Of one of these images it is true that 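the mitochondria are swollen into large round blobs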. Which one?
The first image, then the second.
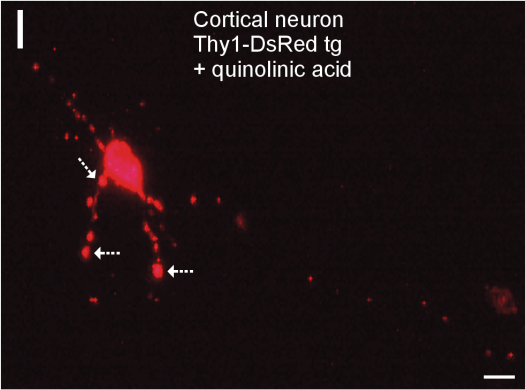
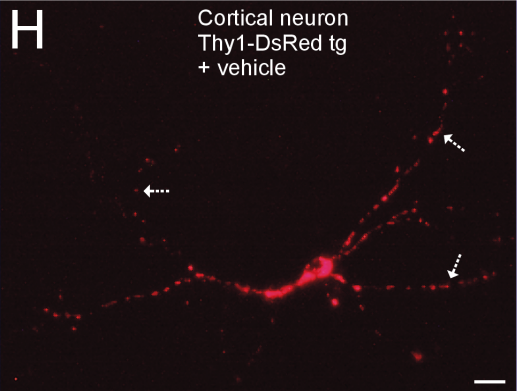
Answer: The first image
